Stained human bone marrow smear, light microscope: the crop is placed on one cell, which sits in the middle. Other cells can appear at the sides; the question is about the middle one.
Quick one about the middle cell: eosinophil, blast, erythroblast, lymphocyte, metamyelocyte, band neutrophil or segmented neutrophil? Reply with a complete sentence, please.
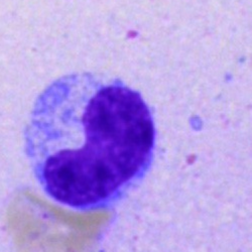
The cell featured at the centre of this crop is a metamyelocyte.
